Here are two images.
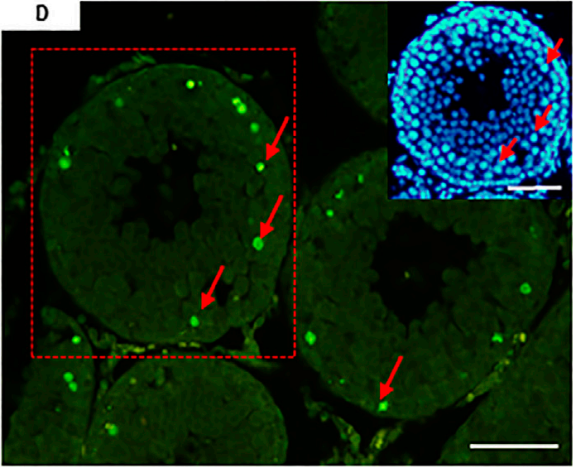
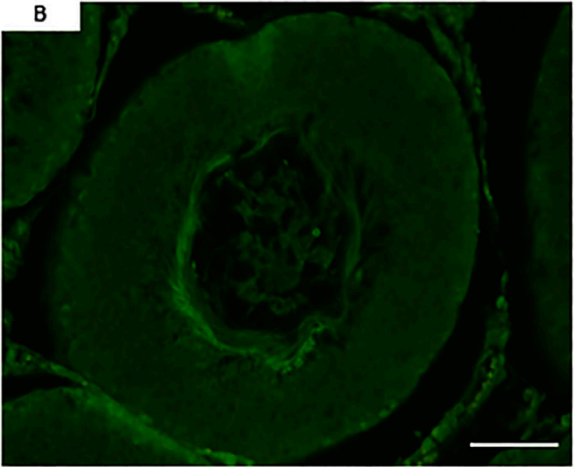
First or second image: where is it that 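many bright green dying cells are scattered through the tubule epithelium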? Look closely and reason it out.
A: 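The first image. First image: numerous bright green round cells are dotted within the epithelium of the tubules.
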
